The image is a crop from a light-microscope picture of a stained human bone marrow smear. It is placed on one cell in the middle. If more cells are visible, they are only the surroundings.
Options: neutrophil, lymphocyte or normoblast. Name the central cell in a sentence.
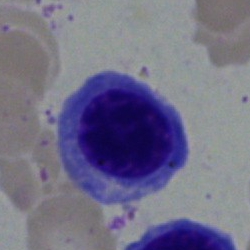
Centred in the crop is a normoblast.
